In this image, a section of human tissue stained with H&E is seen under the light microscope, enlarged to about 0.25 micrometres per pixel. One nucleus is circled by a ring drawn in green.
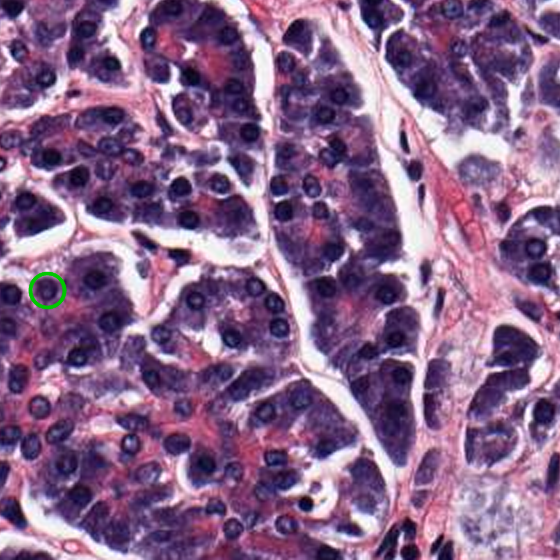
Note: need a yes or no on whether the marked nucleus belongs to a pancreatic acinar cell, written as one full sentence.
Yes, it is the nucleus of a pancreatic acinar cell that has been marked.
